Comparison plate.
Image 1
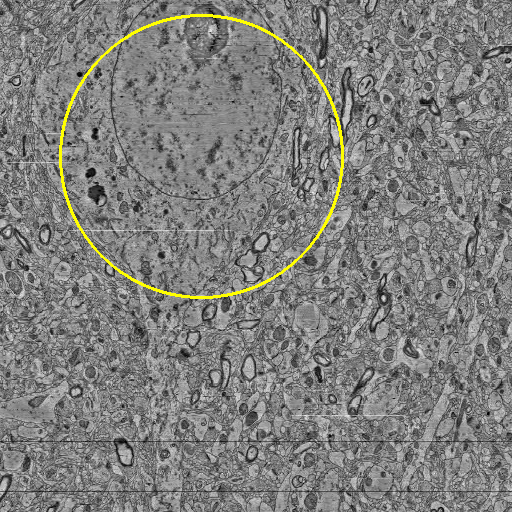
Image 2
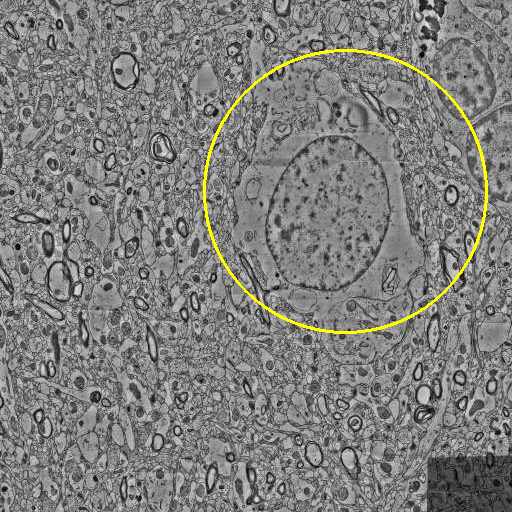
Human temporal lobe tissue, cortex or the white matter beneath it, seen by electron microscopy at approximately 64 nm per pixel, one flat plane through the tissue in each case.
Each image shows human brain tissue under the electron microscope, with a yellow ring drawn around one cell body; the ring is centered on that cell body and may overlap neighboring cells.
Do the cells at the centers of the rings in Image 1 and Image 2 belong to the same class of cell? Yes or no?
no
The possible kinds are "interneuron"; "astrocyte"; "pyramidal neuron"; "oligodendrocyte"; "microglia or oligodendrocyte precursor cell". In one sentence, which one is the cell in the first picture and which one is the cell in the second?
The cell ringed in the second picture is an astrocyte, whereas the one ringed in the first is a pyramidal neuron.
